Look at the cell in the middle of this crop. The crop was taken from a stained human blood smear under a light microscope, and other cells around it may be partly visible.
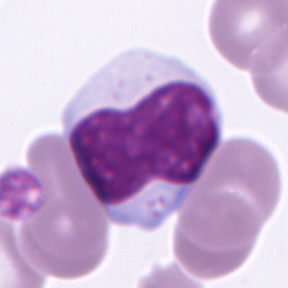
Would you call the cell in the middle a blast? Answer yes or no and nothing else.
no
